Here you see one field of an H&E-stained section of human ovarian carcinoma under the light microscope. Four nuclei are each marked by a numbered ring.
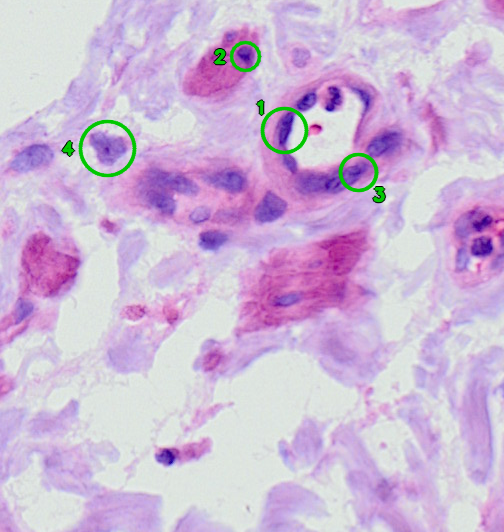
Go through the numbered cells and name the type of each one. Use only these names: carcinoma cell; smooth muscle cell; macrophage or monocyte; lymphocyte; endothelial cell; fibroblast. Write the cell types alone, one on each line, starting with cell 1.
endothelial cell
smooth muscle cell
endothelial cell
fibroblast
